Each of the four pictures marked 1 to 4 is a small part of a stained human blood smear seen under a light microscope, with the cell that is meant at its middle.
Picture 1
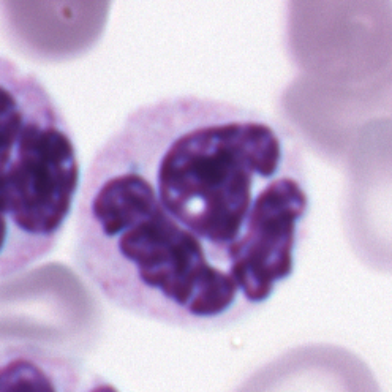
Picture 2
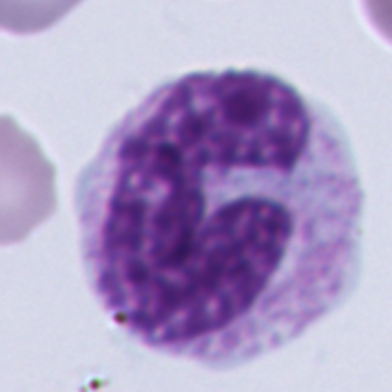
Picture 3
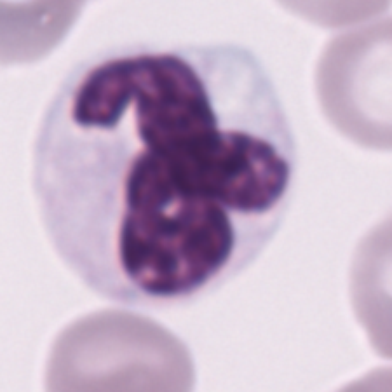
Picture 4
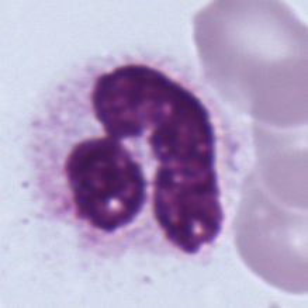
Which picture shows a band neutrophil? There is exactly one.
2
